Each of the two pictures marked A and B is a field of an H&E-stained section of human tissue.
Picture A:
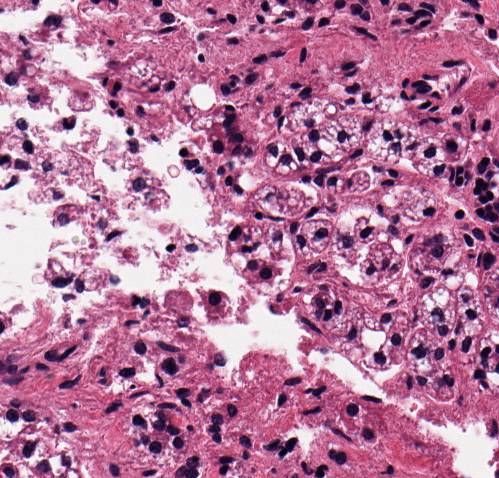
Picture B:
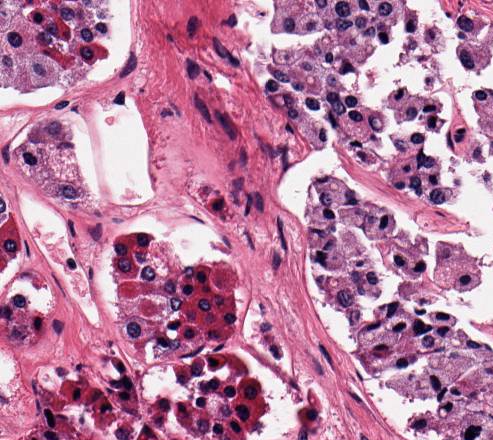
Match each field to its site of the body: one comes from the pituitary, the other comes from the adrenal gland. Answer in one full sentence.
Picture A comes from the adrenal gland; picture B comes from the pituitary.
